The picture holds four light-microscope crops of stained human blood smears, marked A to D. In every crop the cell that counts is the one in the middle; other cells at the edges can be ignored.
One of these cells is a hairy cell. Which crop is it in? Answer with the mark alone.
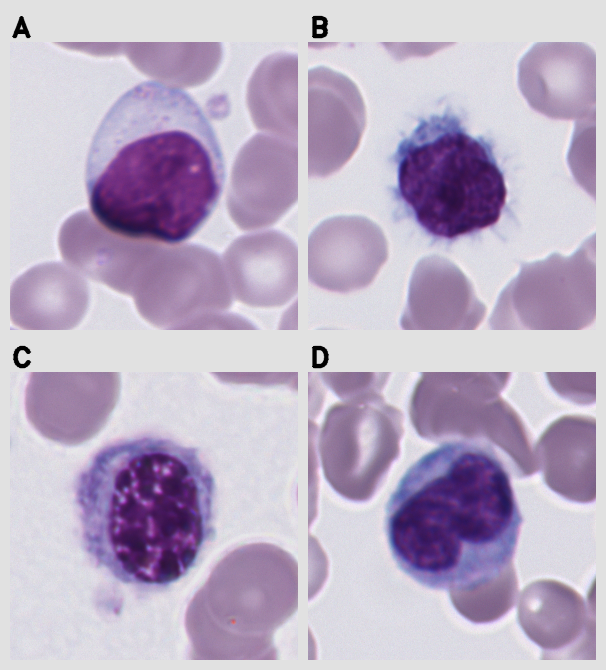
B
